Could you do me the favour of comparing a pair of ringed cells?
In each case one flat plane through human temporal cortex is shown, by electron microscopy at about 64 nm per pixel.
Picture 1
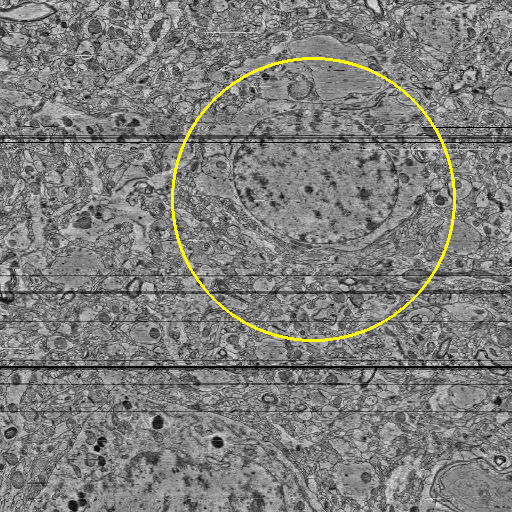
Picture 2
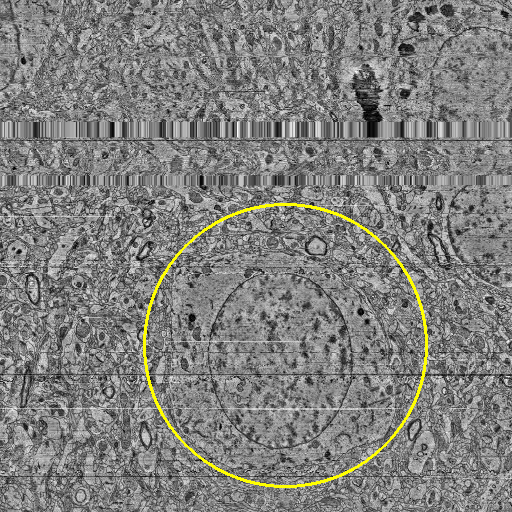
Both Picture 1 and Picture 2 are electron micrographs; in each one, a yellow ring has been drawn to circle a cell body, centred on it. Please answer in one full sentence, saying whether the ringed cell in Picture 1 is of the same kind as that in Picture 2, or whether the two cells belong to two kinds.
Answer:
The ringed cells in Picture 1 and Picture 2 belong to two kinds.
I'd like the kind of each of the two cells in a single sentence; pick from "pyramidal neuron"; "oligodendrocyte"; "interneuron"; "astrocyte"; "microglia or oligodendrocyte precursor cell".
The first ring marks an astrocyte, and the second ring marks a pyramidal neuron.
